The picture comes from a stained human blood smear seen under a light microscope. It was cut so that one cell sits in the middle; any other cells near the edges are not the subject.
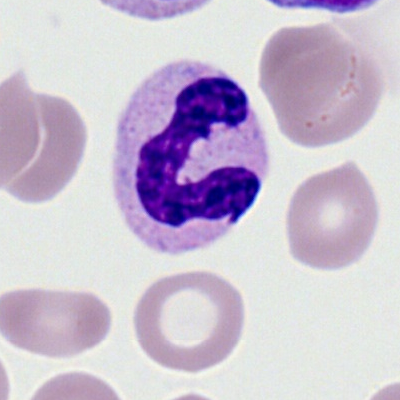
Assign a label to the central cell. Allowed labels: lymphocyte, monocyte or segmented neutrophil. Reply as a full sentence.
Standing at the centre of this crop is a segmented neutrophil.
